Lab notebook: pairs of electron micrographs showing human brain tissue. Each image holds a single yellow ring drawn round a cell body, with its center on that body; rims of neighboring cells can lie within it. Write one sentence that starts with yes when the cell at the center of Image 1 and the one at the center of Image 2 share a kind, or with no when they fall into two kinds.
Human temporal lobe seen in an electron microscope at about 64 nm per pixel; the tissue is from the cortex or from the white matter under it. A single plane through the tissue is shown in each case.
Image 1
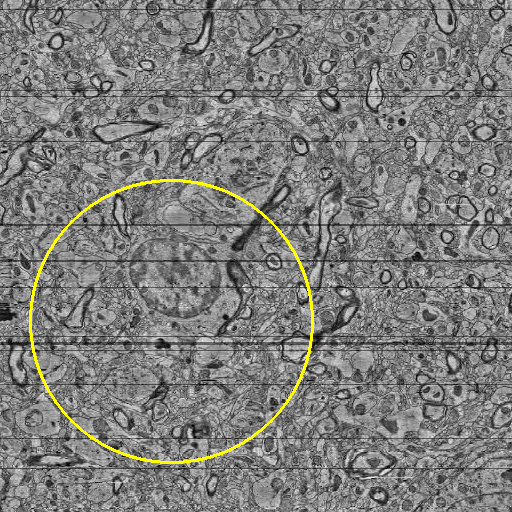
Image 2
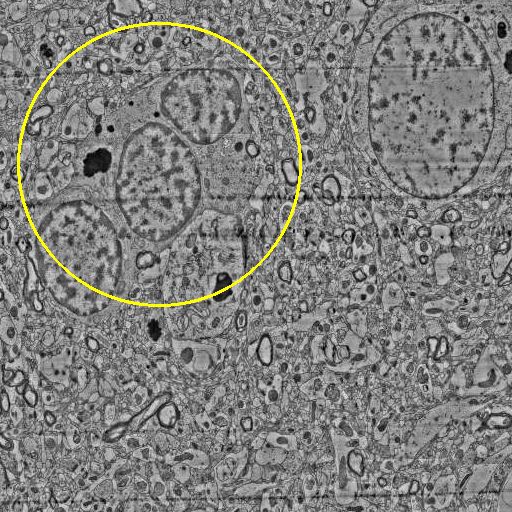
Yes, the centered cell in Image 1 and the centered cell in Image 2 are of one kind.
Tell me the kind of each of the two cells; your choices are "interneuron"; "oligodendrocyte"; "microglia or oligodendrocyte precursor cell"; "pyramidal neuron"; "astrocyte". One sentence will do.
In each of the two pictures, the ringed cell is an oligodendrocyte.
